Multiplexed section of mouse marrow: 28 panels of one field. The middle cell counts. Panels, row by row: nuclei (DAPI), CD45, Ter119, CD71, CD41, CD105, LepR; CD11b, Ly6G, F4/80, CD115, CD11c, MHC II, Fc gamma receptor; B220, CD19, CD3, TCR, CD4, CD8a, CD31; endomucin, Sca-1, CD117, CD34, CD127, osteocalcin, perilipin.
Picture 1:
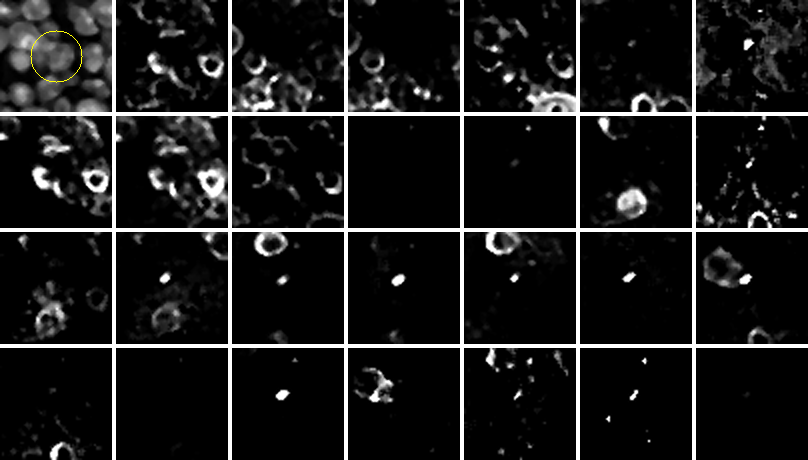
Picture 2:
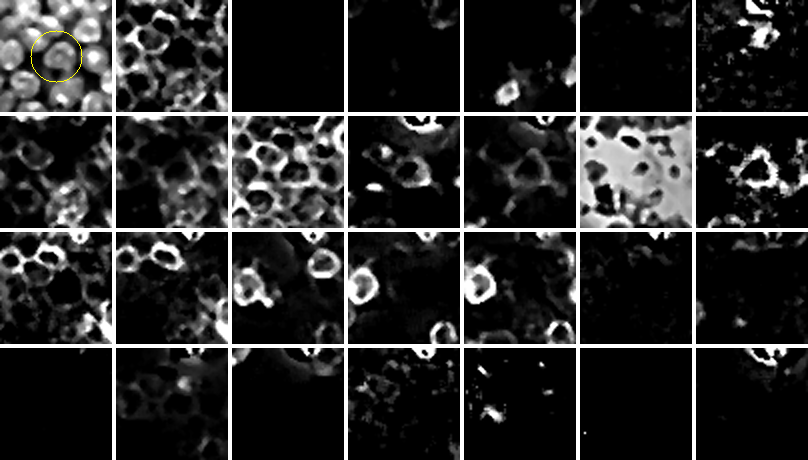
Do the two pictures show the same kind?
No: a LepR-positive perivascular cell, then a monocyte.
